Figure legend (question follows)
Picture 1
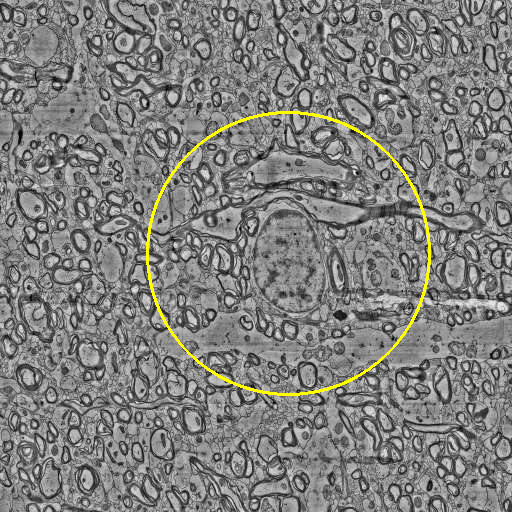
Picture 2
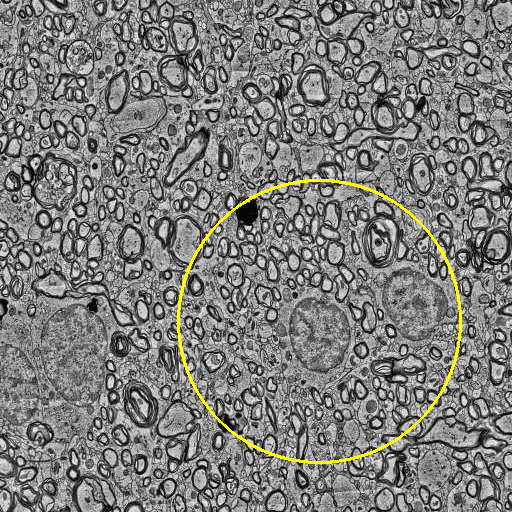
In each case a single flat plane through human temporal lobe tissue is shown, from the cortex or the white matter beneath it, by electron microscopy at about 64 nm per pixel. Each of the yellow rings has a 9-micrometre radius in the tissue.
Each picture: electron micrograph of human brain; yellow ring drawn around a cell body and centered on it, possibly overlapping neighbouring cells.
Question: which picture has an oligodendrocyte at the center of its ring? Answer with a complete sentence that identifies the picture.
Picture 2 has it at the center of its ring.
